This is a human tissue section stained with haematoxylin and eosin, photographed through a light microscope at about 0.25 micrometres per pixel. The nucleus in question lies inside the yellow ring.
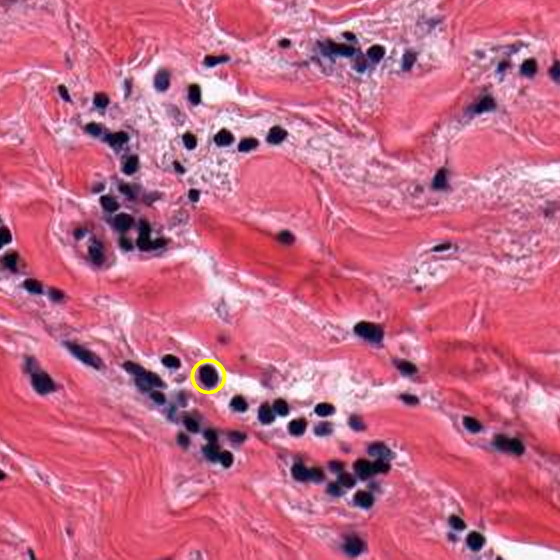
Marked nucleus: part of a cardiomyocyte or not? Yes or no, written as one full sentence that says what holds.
No, the marked nucleus is not housed in a cardiomyocyte but in a supporting cell.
